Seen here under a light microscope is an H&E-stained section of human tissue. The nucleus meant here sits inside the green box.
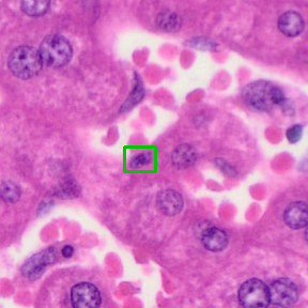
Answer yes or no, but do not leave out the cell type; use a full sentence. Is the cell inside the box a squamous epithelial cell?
No, the cell inside the box is typed as a fibroblast or stellate cell rather than as a squamous epithelial cell.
